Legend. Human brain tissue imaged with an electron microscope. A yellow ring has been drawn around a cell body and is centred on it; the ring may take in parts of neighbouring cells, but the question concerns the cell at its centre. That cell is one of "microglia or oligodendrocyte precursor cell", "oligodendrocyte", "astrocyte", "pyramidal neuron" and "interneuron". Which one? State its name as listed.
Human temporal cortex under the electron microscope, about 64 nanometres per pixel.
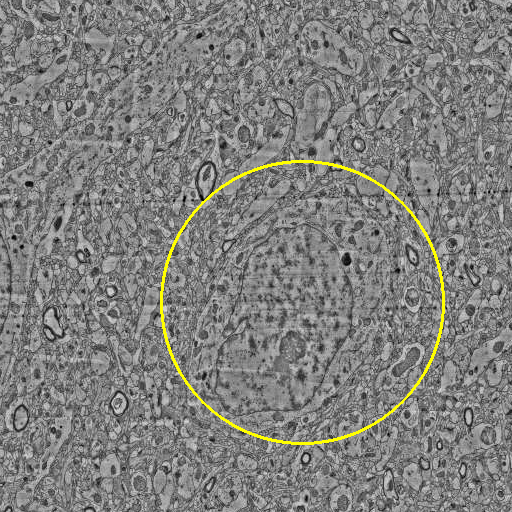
interneuron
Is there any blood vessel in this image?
No, a blood vessel is absent from this picture.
